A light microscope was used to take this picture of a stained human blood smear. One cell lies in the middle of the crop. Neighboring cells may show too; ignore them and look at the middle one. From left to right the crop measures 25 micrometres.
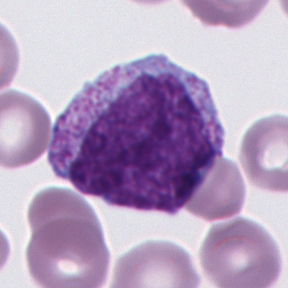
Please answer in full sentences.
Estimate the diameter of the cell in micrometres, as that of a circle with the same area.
Taken as a circle, the cell has a diameter of about 15 micrometres.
